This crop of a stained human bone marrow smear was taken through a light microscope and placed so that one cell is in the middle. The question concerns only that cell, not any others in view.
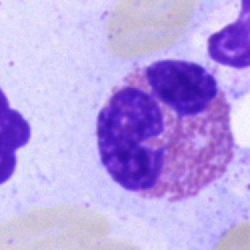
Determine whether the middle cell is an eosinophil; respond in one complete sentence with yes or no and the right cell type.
Yes, the middle cell in this crop is an eosinophil.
